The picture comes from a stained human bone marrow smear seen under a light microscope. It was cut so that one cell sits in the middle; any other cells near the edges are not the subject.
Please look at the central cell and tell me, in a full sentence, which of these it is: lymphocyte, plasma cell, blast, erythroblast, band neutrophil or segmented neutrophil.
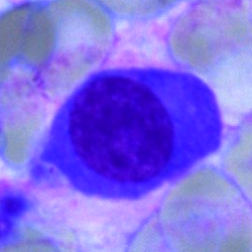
On this slide crop, the central cell is a plasma cell.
